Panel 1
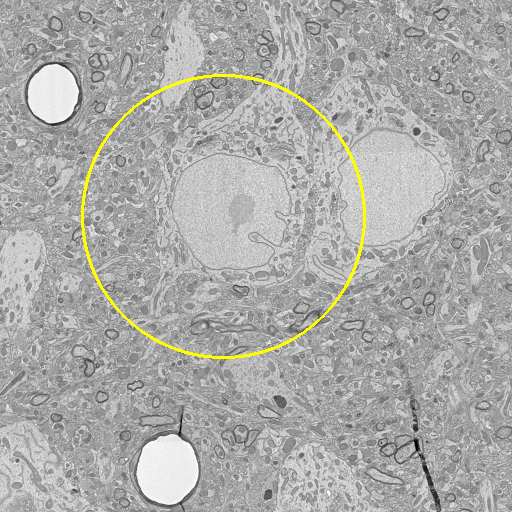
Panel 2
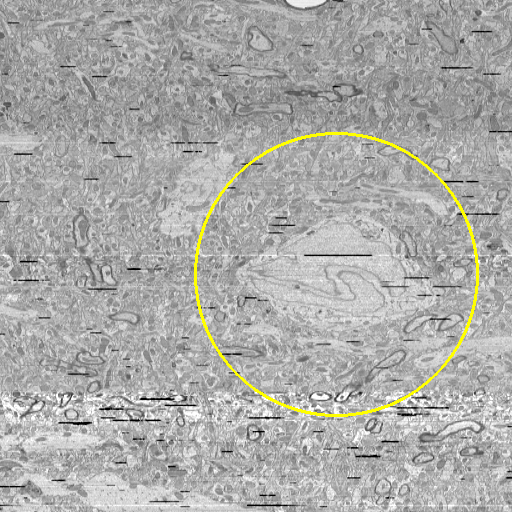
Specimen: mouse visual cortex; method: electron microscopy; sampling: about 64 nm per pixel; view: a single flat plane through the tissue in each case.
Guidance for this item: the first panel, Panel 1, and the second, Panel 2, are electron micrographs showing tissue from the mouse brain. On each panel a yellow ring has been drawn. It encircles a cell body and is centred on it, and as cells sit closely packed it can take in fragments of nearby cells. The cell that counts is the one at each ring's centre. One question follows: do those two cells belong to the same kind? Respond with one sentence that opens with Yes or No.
Yes, the cells at the ring centres in Panel 1 and Panel 2 are of one kind.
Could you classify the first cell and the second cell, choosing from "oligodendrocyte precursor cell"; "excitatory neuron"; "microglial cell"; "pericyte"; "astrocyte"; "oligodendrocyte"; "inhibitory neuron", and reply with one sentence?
Each one of the two ringed cells is an inhibitory neuron.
